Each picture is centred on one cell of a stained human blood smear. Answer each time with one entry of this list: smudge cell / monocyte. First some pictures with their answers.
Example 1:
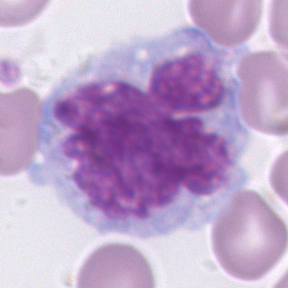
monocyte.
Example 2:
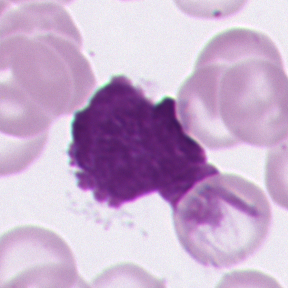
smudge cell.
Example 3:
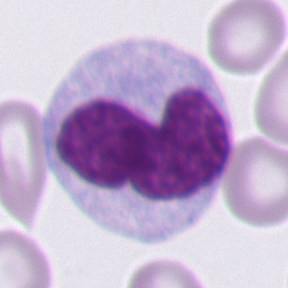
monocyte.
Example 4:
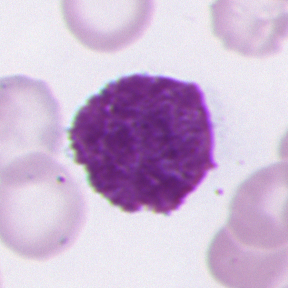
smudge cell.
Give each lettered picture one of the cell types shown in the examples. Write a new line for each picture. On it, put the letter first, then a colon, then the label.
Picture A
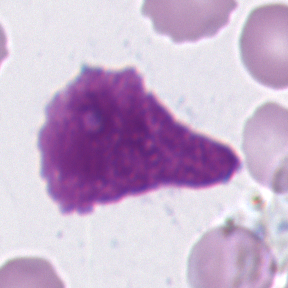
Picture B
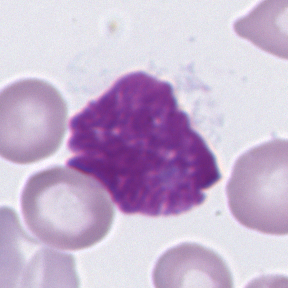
A: smudge cell.
B: smudge cell.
